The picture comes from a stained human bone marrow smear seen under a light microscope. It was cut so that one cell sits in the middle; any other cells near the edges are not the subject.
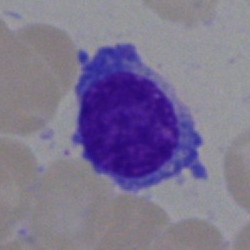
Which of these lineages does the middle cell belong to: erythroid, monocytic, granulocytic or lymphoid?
lymphoid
